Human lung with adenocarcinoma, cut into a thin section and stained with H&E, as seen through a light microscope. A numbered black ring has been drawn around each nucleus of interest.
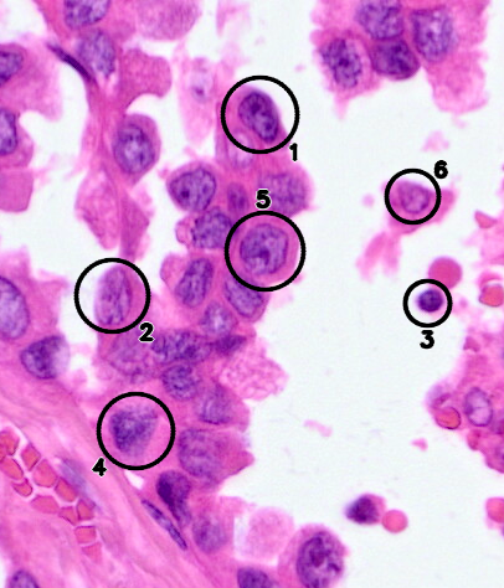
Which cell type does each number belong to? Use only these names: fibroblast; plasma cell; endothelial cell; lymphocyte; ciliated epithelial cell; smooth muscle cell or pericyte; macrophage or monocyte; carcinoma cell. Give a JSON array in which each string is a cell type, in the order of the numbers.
["carcinoma cell", "carcinoma cell", "lymphocyte", "carcinoma cell", "carcinoma cell", "macrophage or monocyte"]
